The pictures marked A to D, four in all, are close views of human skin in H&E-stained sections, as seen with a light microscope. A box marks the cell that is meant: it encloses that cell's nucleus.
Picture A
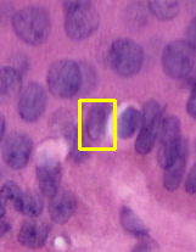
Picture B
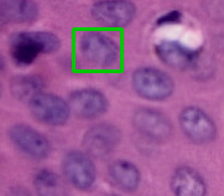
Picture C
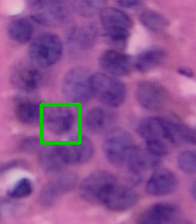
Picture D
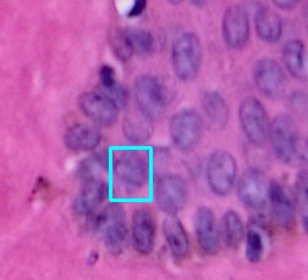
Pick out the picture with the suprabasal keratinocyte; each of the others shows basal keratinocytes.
B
